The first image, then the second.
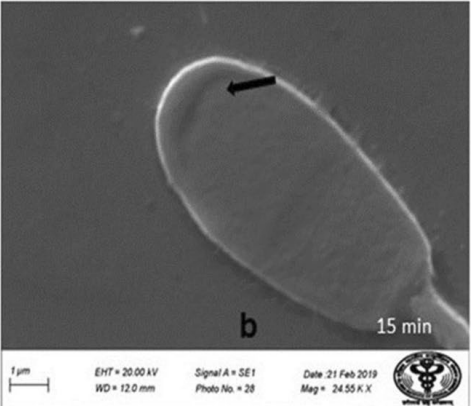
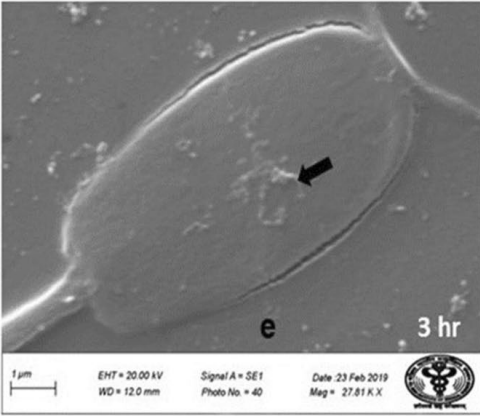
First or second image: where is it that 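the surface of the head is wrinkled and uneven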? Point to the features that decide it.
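Second image: the head surface is rough, with irregular patches and a cracked-looking edge. First image: the head surface is smooth with an even rim.
Hence: the second image.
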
